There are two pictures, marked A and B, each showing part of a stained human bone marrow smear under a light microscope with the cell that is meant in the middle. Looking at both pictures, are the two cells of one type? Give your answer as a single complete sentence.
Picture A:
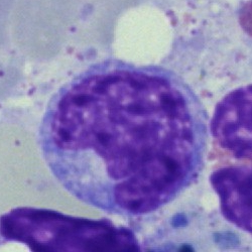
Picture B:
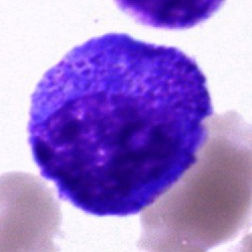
No; the cell in picture A is a monocyte, while the one in picture B is a promyelocyte.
